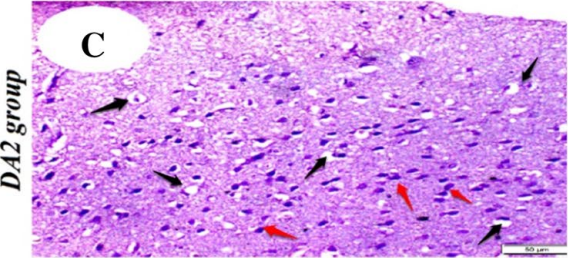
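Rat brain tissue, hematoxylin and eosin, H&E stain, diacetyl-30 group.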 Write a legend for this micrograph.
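Numerous small, dark purple, angular or elongated cell bodies are scattered through a pale lilac, finely vacuolated neuropil. Many of these cell bodies are surrounded by clear, empty halos, and other clear spaces of varied size lie between them. Small dark nuclei of other cells are also spread through the field.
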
